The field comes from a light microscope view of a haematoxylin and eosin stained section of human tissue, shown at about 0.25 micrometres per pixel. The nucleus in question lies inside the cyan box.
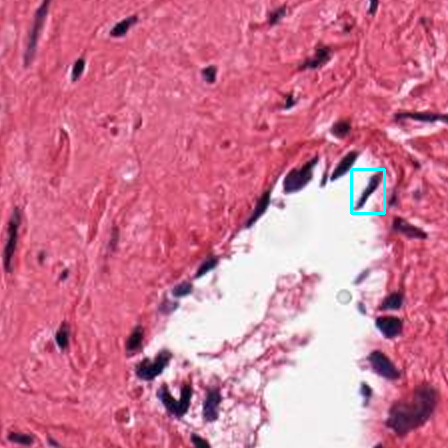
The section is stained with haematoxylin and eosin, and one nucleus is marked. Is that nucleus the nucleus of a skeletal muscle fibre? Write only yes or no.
no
